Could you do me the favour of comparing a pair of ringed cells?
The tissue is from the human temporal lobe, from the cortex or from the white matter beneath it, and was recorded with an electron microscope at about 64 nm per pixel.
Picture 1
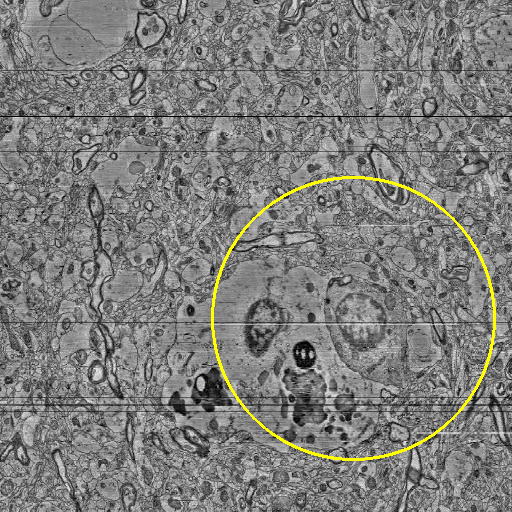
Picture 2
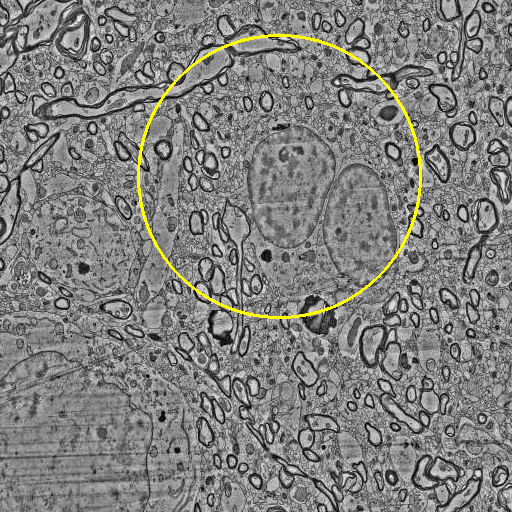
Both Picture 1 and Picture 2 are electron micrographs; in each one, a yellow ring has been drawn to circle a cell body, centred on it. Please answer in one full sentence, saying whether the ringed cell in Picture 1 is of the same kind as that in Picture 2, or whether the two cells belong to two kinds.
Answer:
The ringed cell in Picture 1 is of the same kind as that in Picture 2.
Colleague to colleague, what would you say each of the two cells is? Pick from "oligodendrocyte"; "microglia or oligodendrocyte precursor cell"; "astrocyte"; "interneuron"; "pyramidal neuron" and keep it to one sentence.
Each cell, in the first picture and the second, is an oligodendrocyte.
